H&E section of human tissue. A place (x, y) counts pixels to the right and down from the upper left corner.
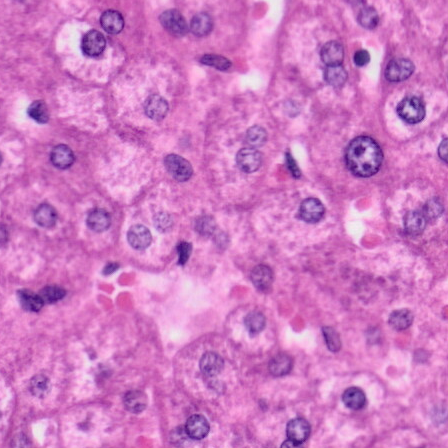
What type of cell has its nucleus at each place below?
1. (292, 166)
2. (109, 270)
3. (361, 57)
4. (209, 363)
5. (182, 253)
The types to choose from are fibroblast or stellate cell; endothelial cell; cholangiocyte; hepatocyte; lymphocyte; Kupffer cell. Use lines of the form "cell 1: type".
cell 1: endothelial cell
cell 2: lymphocyte
cell 3: lymphocyte
cell 4: hepatocyte
cell 5: fibroblast or stellate cell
